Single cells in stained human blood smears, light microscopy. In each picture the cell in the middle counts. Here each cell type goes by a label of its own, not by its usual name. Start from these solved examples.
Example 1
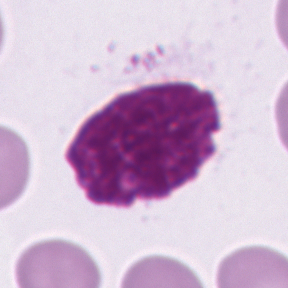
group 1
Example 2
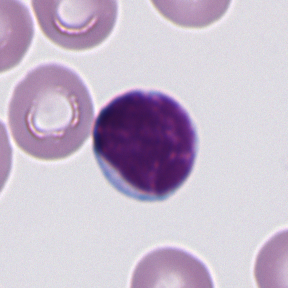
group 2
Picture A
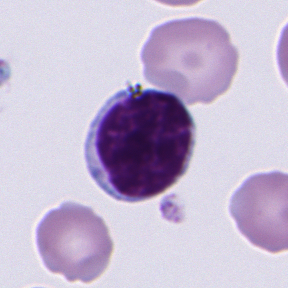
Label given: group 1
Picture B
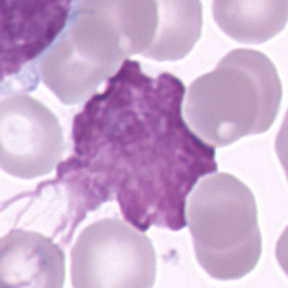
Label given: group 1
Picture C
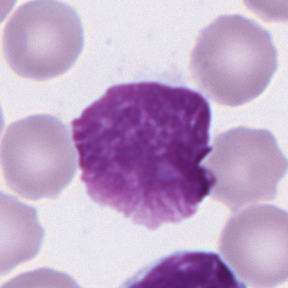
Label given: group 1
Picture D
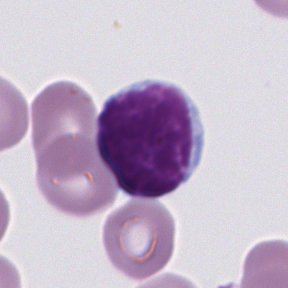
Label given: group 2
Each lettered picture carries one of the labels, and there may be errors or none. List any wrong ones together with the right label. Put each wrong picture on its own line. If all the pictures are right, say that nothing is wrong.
A should be group 2, not group 1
